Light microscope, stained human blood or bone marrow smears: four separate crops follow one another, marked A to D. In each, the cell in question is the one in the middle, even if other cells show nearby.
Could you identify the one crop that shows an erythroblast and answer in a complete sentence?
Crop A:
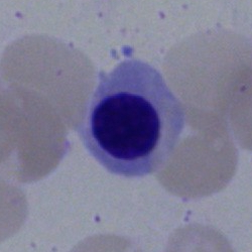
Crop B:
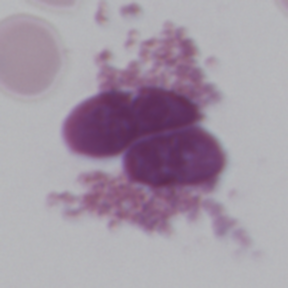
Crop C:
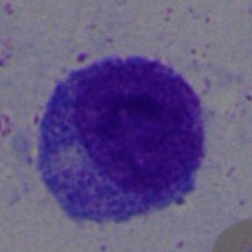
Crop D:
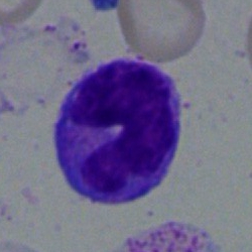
Of the crops given, an erythroblast is found in crop A.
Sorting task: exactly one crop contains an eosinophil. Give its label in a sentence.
It is the cell in crop B that is an eosinophil.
